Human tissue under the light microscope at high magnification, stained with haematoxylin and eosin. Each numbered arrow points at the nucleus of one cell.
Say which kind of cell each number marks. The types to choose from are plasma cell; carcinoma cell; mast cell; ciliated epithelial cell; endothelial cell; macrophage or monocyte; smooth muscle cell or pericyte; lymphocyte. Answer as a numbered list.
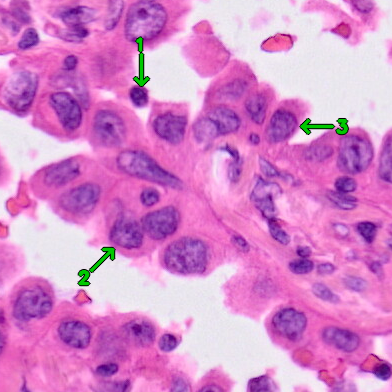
1. lymphocyte
2. carcinoma cell
3. carcinoma cell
